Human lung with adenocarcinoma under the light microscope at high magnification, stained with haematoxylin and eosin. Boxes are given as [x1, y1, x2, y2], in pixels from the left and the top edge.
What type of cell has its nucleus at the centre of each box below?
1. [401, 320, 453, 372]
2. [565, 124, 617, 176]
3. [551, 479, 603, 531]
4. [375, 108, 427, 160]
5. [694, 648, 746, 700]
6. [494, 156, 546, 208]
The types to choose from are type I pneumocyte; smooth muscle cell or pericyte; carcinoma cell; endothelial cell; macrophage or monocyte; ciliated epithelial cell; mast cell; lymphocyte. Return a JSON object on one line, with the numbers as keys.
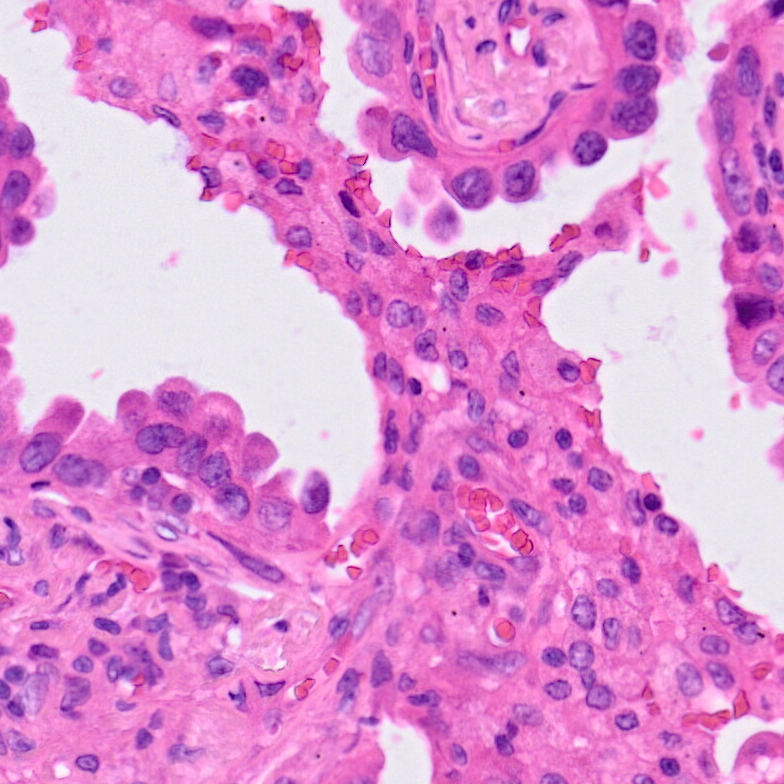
{"1": "macrophage or monocyte", "2": "carcinoma cell", "3": "lymphocyte", "4": "carcinoma cell", "5": "macrophage or monocyte", "6": "carcinoma cell"}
